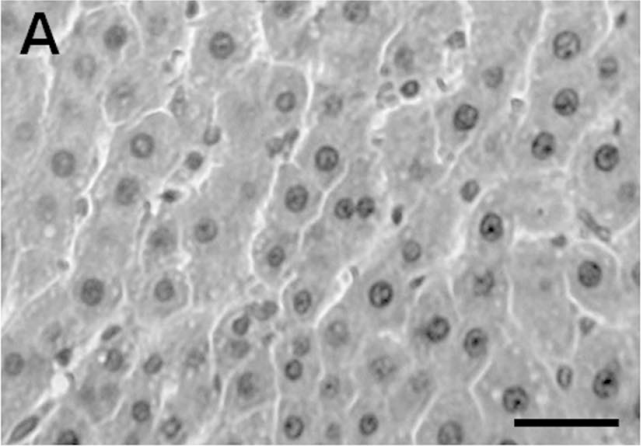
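This is liver tissue made of hepatocytes, large polygonal cells with abundant evenly textured cytoplasm. Each hepatocyte has a round, centrally placed nucleus with a distinct dark nucleolus, and occasional cells show two nuclei. The cells are arranged in rows or plates separated by narrow pale clefts, the sinusoids, along which lie small elongated dark nuclei of lining cells.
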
